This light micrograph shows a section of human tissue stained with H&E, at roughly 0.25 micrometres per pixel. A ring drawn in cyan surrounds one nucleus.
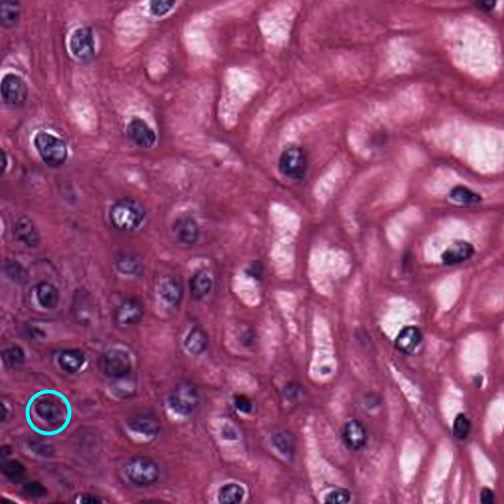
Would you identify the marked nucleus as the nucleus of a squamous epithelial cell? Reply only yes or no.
yes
